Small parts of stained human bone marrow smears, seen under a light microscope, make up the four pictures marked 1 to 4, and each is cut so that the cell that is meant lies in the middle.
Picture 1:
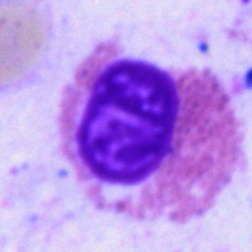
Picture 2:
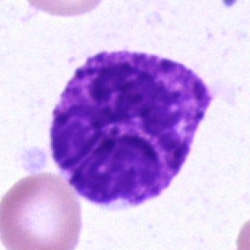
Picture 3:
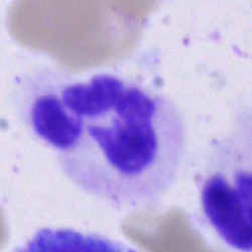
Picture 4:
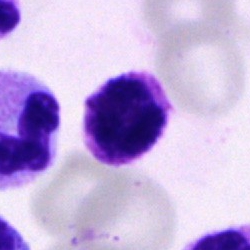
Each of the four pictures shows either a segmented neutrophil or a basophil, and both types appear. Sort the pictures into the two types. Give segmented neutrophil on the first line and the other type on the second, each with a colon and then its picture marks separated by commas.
segmented neutrophil: 3
basophil: 1, 2, 4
